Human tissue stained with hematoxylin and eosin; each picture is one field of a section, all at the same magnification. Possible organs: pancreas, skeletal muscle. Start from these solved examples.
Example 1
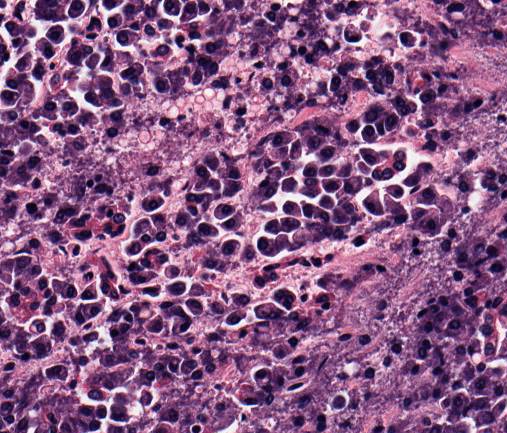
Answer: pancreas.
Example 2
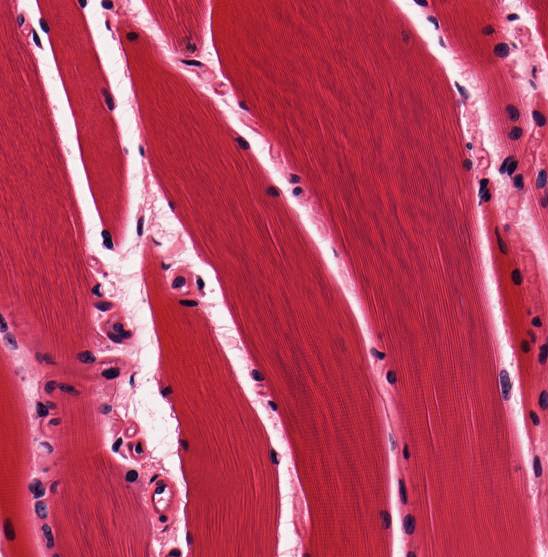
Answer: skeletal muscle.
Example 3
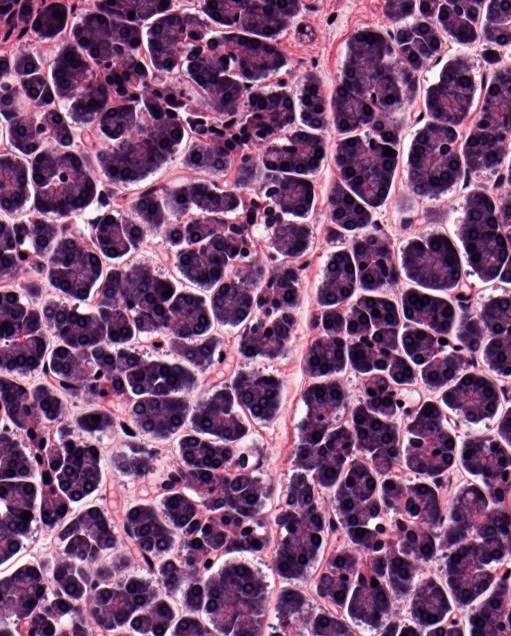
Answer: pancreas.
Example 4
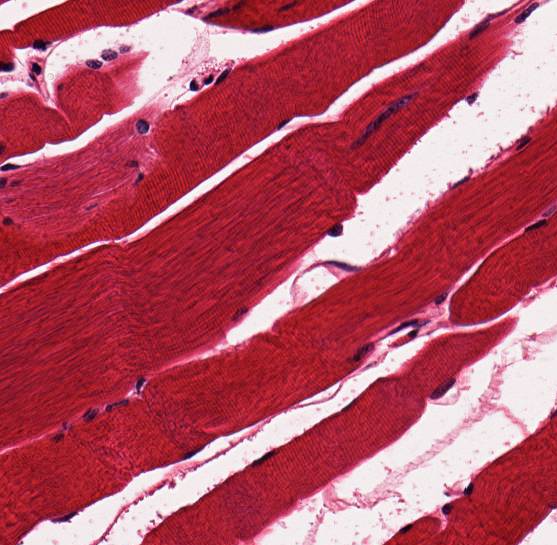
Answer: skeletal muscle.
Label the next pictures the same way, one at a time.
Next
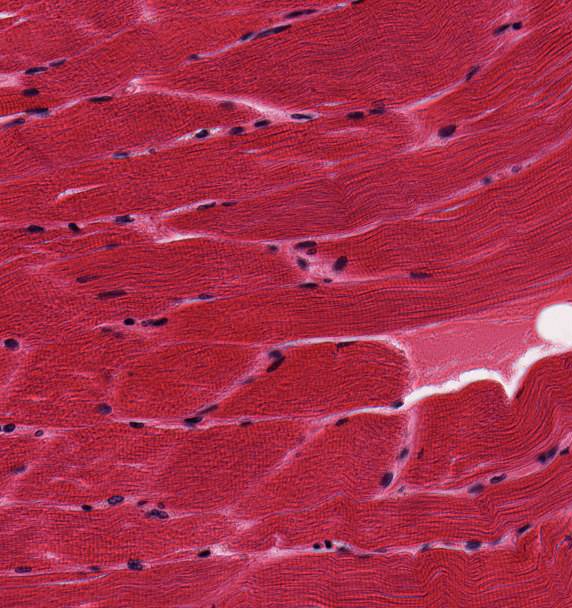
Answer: skeletal muscle.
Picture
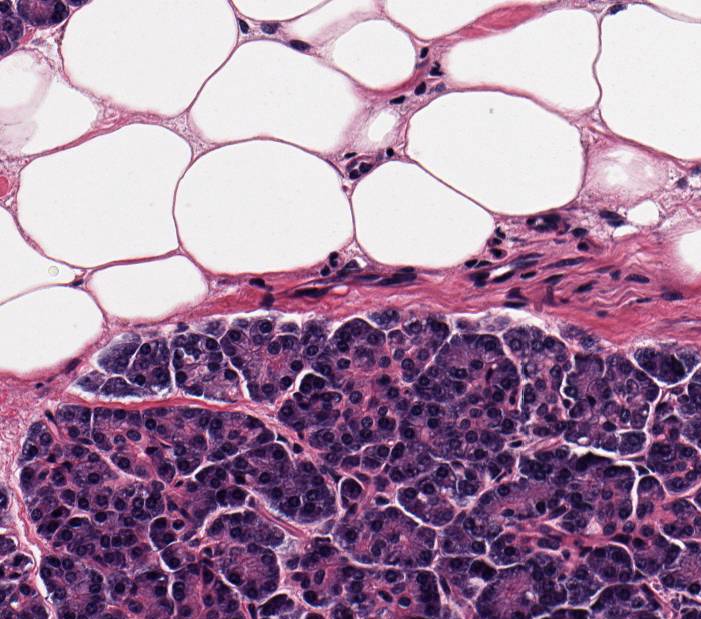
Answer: pancreas.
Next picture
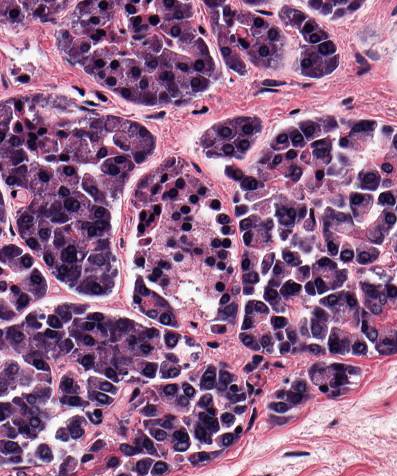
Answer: pancreas.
